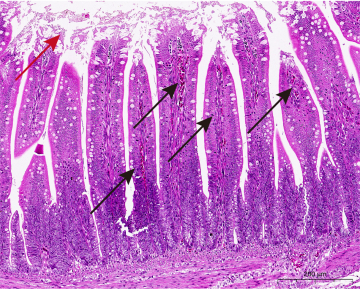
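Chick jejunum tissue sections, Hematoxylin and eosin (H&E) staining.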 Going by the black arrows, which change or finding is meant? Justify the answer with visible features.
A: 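Inflammatory cell infiltration. The arrows point into the cores of the villi. Dark, densely stained cells gather in streaks within the villus cores.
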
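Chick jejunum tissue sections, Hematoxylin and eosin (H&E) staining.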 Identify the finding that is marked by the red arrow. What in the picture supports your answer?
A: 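The arrow points at the villus tips at the top of the section. Loose pale pink material lies separated from the tops of the villi. So: epithelial cell detachment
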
